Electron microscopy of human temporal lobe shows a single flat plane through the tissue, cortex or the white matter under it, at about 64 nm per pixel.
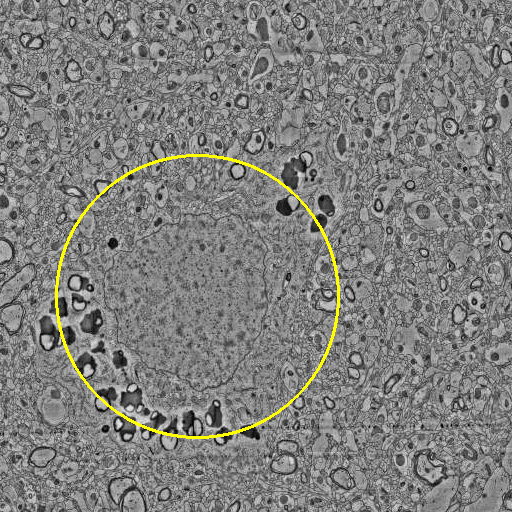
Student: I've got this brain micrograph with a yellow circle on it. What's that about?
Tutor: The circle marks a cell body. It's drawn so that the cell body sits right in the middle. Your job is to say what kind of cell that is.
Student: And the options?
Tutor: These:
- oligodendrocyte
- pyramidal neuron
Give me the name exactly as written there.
pyramidal neuron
